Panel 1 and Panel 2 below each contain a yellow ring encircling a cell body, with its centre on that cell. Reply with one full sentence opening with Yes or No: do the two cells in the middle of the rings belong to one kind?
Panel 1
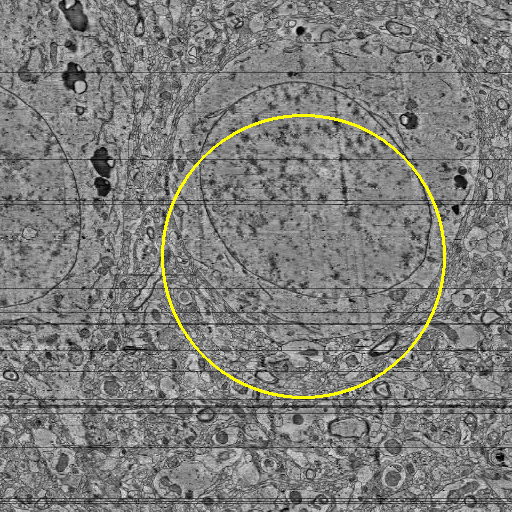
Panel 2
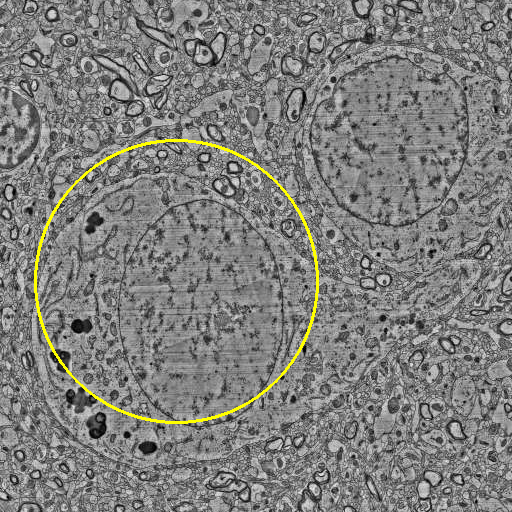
Yes, the cells at the middle of the Panel 1 ring and the Panel 2 ring are of one kind.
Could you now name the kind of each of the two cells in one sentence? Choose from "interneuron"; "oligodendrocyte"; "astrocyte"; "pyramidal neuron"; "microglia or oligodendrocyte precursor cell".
The first and the second cell are each a pyramidal neuron.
